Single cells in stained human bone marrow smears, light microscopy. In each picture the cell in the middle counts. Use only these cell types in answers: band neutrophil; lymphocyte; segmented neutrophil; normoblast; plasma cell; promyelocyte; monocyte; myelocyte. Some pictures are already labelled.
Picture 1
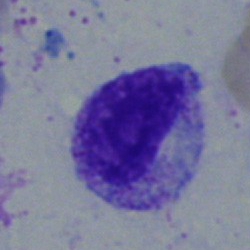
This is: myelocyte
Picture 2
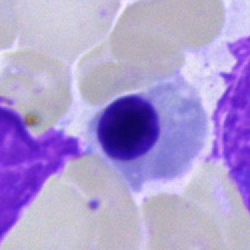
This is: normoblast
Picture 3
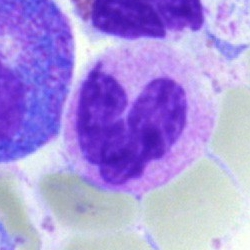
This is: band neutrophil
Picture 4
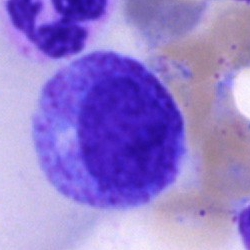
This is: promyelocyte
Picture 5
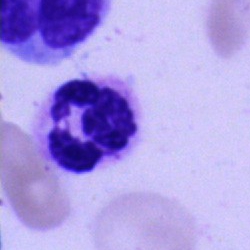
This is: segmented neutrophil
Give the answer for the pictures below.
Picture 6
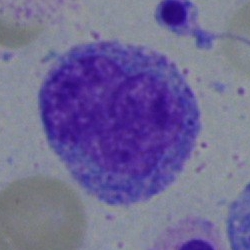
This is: monocyte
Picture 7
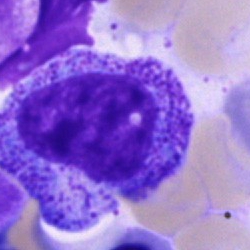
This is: promyelocyte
